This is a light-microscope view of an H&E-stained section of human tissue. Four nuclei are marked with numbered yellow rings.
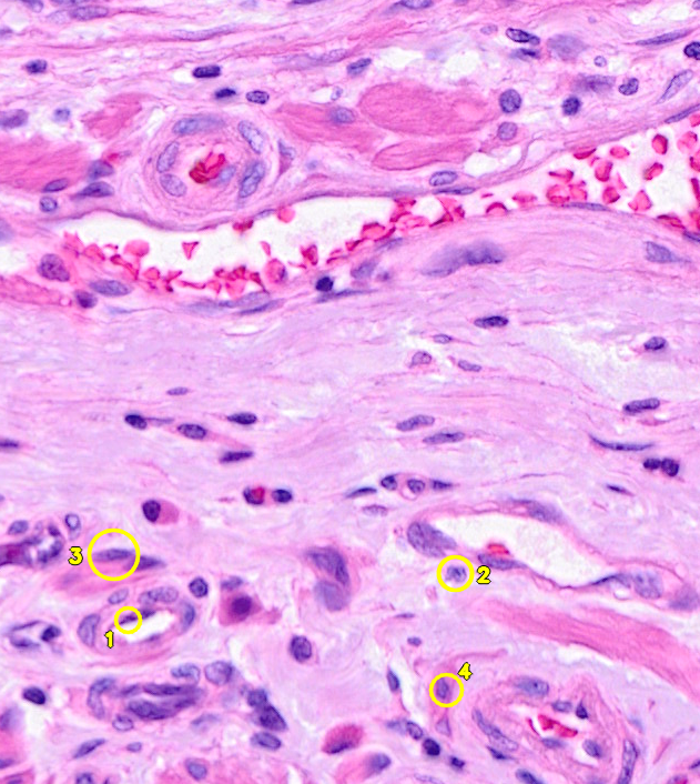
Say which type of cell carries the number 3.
smooth muscle cell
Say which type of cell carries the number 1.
endothelial cell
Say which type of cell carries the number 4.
smooth muscle cell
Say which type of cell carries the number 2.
lymphocyte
